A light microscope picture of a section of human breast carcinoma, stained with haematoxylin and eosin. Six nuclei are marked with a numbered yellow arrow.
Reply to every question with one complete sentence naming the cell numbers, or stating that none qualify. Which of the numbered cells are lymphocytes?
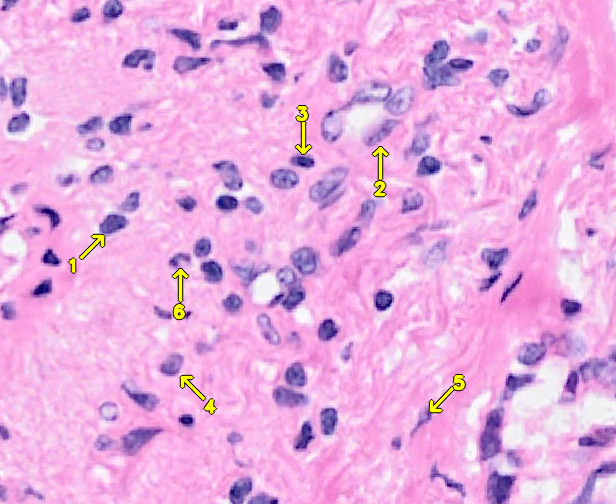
Cells numbered 1, 3, 4 and 6 belong to the group of lymphocytes.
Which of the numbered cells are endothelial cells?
Exactly one numbered cell is an endothelial cell, and that cell is number 2.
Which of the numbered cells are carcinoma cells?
In this field, none of the numbered cells are carcinoma cells.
